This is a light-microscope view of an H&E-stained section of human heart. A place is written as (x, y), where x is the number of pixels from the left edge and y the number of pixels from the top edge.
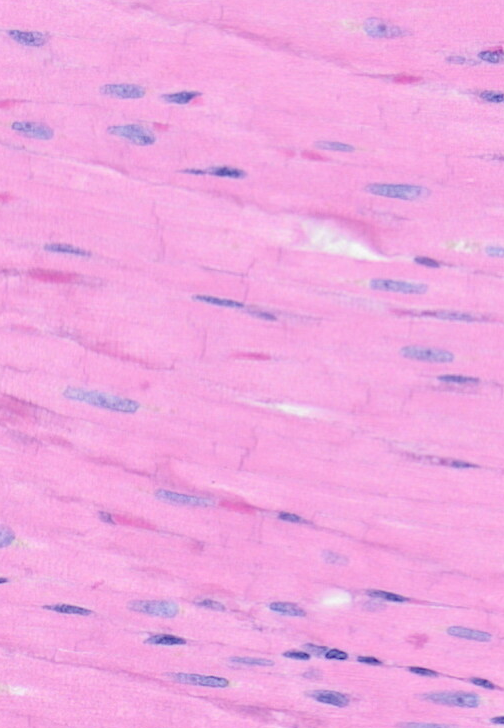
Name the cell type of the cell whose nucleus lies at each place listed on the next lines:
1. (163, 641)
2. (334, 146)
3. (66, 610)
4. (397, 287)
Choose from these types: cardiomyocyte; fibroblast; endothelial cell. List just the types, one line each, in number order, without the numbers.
endothelial cell
cardiomyocyte
endothelial cell
cardiomyocyte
